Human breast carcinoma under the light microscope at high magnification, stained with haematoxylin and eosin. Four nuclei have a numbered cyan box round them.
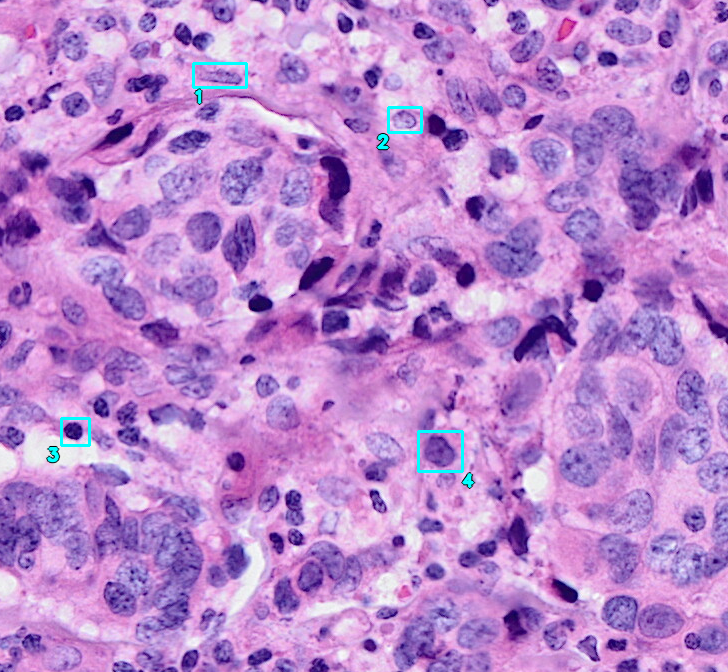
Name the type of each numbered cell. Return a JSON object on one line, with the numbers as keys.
{"1": "macrophage, monocyte or dendritic cell", "2": "macrophage, monocyte or dendritic cell", "3": "lymphocyte", "4": "carcinoma cell"}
